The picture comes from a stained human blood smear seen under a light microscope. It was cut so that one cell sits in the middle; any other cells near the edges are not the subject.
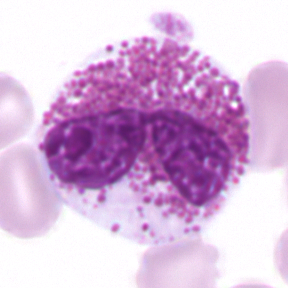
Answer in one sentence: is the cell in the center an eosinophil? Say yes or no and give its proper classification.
Yes, the centrally placed cell is an eosinophil.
